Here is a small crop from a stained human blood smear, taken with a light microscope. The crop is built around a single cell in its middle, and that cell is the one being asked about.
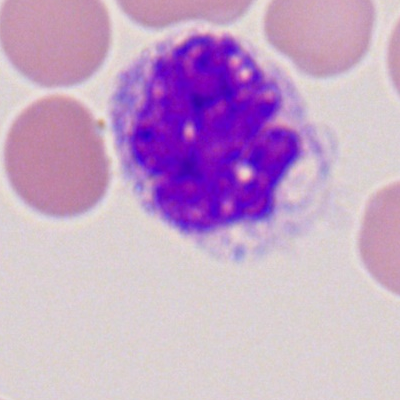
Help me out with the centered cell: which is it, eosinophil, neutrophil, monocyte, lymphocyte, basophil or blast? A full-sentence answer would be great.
The cell of interest, located centrally, is a monocyte.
